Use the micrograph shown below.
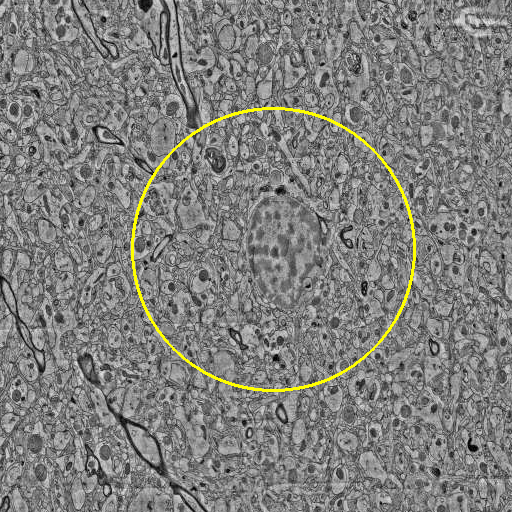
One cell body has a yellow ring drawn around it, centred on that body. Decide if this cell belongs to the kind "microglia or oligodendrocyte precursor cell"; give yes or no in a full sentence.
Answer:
No, the cell lying at the ring's centre in the micrograph is of another kind.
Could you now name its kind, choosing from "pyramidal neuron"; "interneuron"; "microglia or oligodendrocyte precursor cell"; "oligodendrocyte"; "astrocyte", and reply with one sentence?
As it turns out, the cell at the ring centre is an oligodendrocyte.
